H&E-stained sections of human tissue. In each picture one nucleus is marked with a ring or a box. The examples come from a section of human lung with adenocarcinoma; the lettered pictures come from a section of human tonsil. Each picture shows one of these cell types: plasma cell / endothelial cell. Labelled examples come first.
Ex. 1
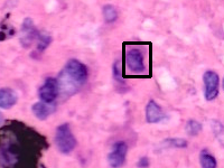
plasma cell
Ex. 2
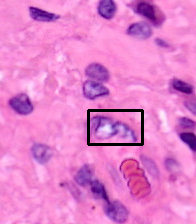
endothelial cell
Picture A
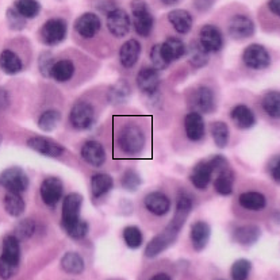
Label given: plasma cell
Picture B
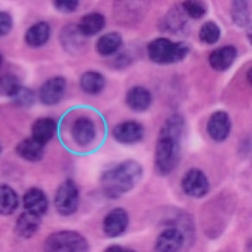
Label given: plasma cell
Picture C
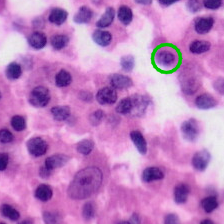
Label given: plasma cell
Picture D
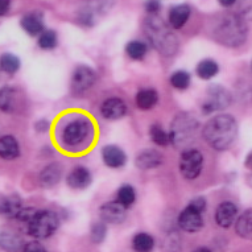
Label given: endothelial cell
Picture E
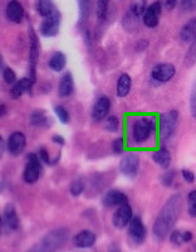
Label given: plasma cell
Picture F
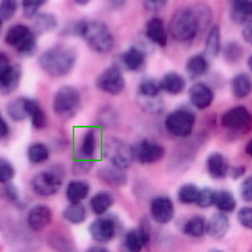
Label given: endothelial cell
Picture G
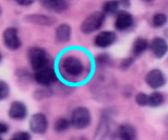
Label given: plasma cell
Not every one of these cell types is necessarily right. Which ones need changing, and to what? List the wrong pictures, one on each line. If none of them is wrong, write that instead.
D: change endothelial cell to plasma cell
G: change plasma cell to endothelial cell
